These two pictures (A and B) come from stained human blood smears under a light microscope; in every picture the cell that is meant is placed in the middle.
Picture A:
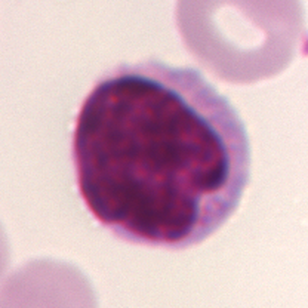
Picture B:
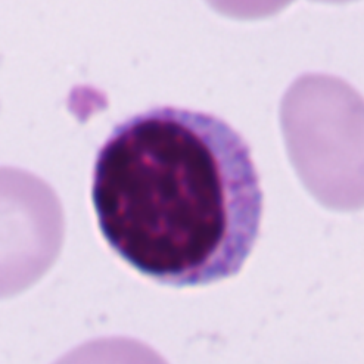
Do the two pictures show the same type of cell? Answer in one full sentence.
Yes; the cells in both pictures are large granular lymphocytes.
